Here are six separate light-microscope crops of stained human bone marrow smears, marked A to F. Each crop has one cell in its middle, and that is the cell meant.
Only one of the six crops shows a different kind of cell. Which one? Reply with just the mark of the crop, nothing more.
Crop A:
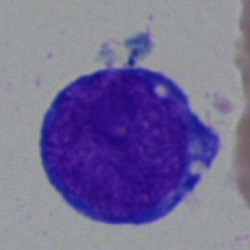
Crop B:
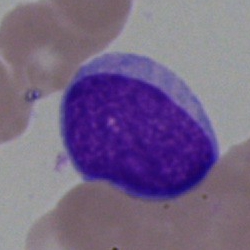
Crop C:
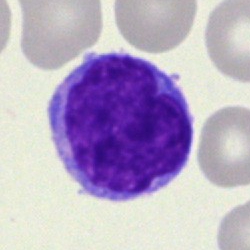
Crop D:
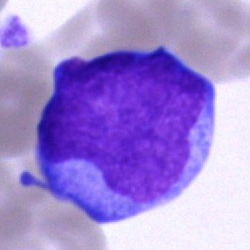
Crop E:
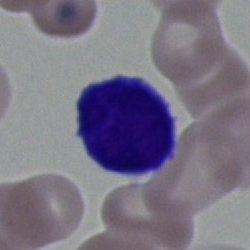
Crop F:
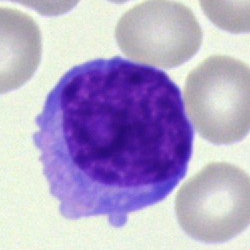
E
